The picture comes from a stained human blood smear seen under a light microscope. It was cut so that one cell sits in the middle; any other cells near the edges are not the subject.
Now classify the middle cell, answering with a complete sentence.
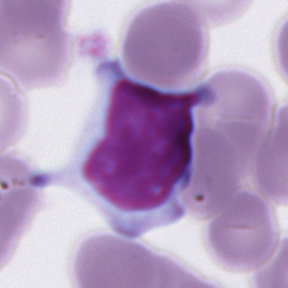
At the center of the crop sits a typical lymphocyte.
